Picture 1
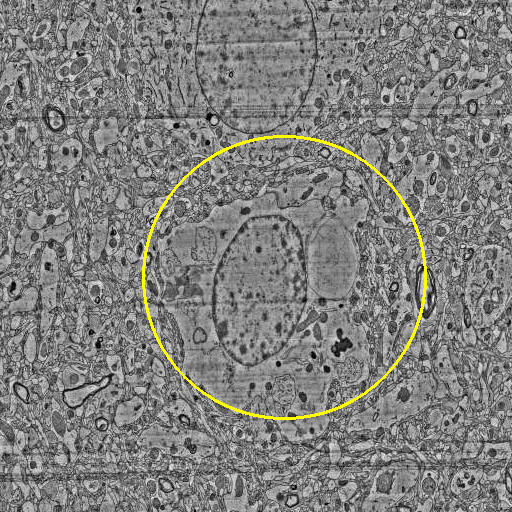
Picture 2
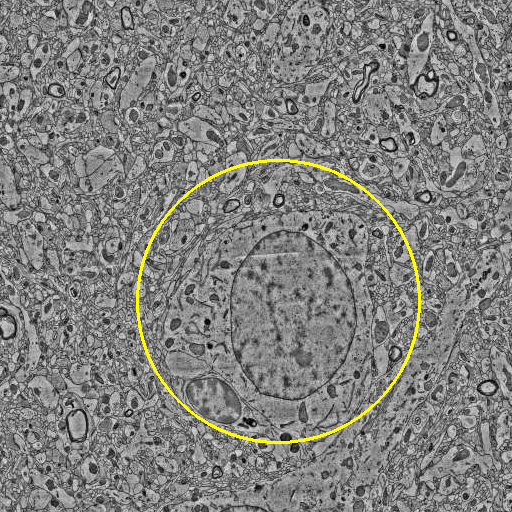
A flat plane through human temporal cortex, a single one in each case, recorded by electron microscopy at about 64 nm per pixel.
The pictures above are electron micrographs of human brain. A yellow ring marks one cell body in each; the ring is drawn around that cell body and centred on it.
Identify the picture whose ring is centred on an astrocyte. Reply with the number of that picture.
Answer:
1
